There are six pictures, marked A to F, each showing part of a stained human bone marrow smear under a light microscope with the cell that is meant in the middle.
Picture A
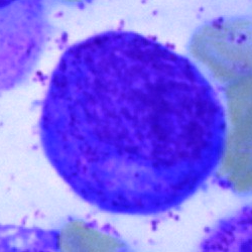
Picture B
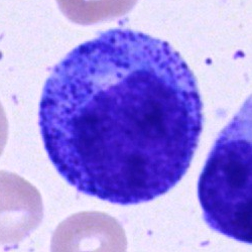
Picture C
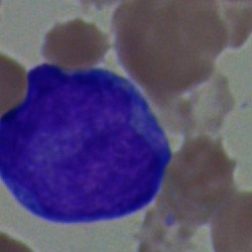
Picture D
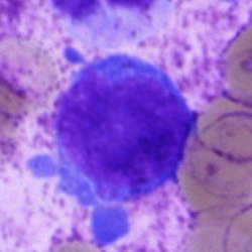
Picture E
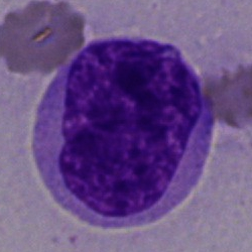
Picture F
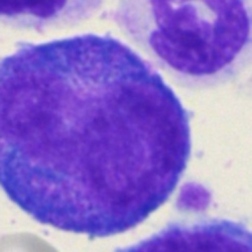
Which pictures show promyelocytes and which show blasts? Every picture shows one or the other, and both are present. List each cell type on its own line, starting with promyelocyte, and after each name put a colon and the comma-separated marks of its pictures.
promyelocyte: A, B, F
blast: C, D, E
